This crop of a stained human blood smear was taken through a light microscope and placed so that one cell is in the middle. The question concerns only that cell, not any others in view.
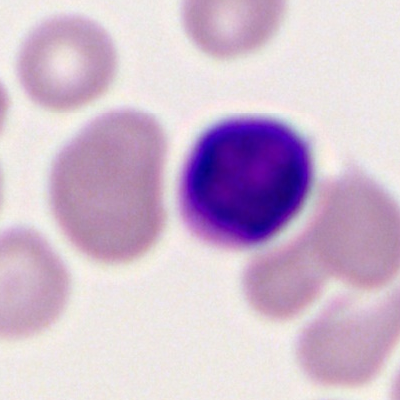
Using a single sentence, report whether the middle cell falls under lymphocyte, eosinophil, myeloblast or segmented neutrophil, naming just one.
Standing at the centre of this crop is a lymphocyte.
